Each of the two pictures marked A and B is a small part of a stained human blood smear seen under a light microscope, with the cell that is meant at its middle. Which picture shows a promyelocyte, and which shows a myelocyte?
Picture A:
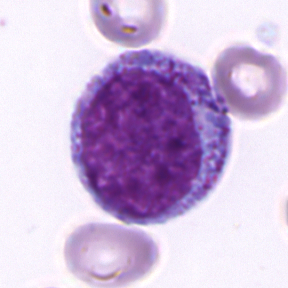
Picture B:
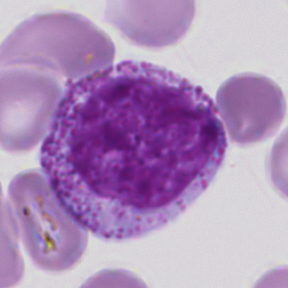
A: promyelocyte
B: myelocyte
